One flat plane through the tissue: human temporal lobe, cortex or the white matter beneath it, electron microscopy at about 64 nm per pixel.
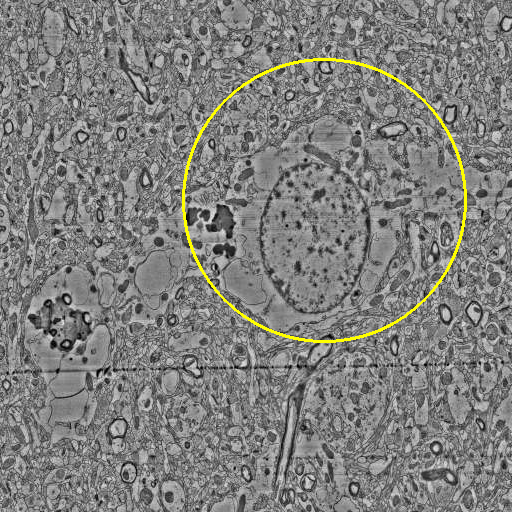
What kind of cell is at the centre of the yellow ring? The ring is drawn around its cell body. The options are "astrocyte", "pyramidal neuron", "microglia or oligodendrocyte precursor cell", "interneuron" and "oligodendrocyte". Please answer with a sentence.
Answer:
The yellow ring marks the cell body of an astrocyte.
